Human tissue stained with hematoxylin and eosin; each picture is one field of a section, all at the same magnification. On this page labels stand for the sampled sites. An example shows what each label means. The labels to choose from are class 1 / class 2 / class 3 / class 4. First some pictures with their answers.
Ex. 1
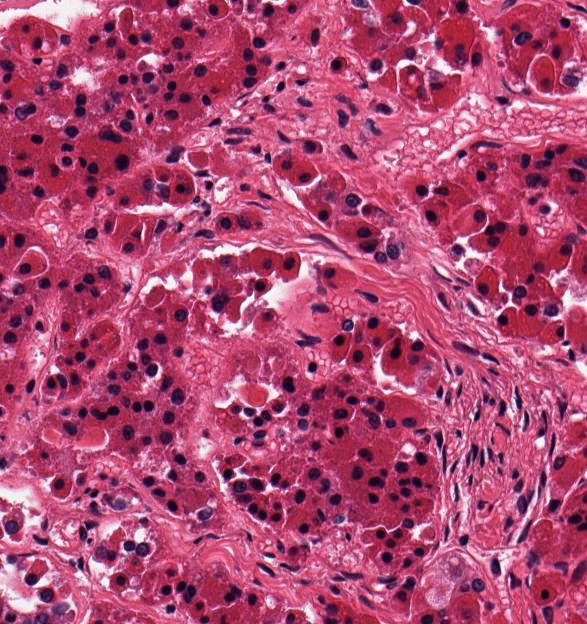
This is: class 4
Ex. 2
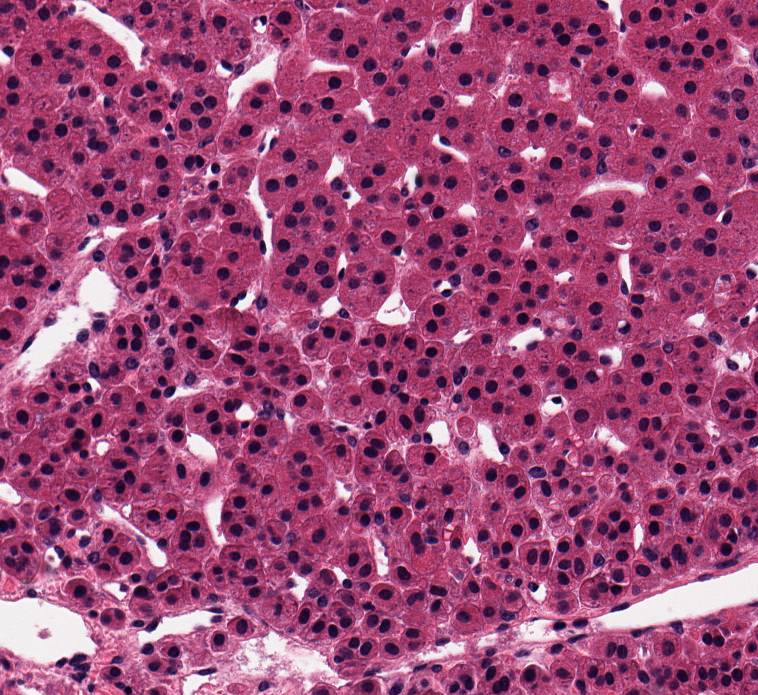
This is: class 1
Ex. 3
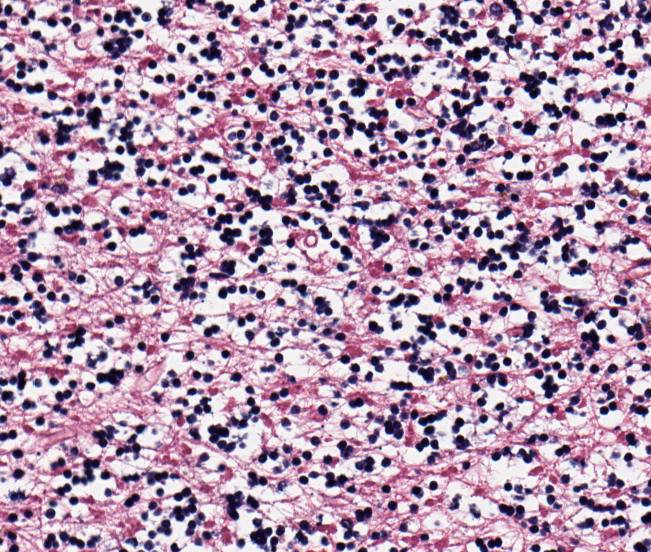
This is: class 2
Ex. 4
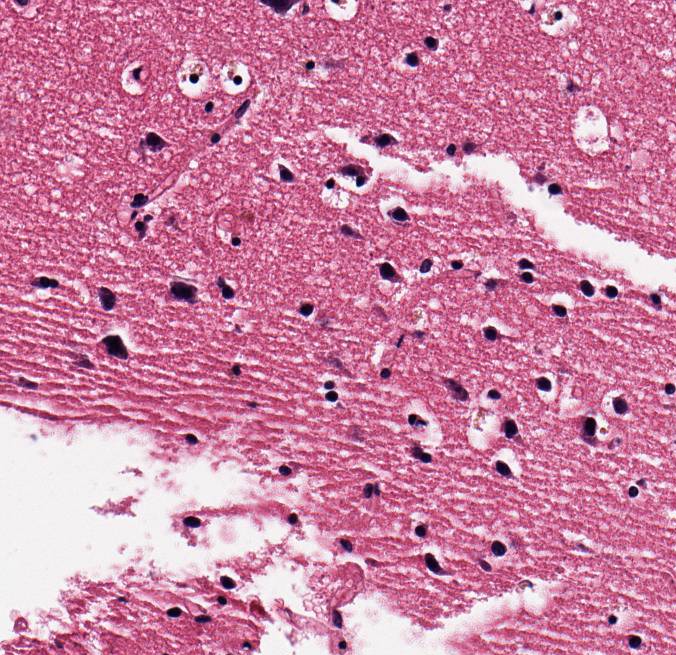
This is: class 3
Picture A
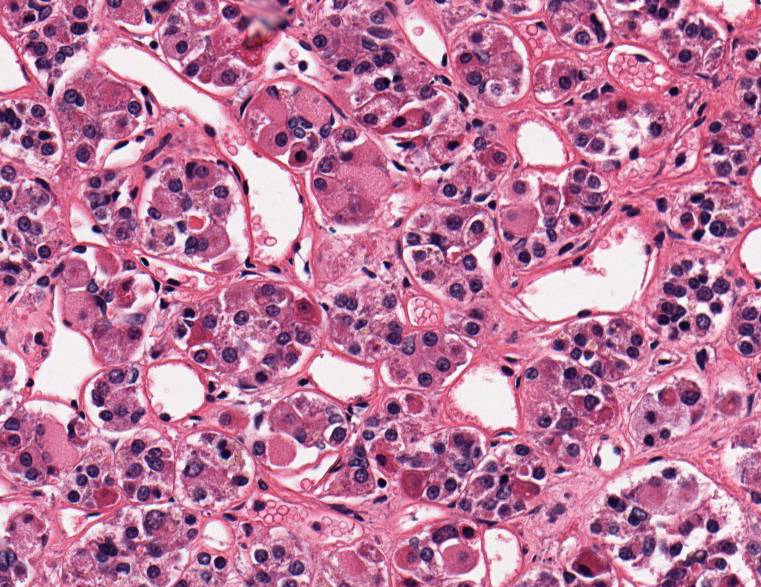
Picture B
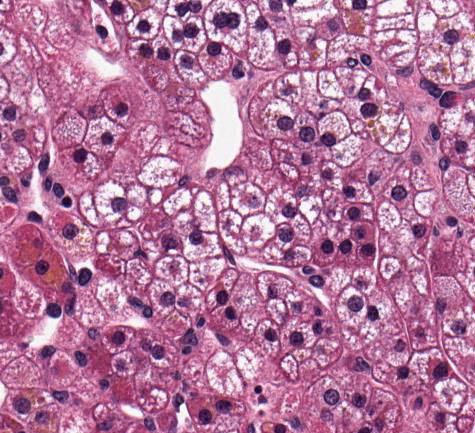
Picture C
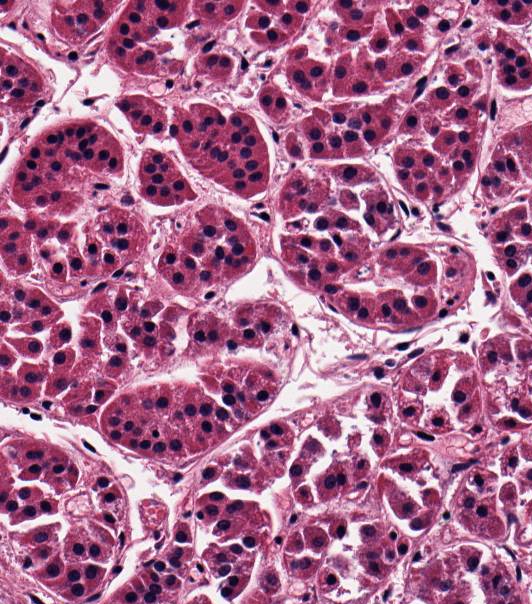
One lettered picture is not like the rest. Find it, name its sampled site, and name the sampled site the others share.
Different: A, class 4. Others: class 1.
